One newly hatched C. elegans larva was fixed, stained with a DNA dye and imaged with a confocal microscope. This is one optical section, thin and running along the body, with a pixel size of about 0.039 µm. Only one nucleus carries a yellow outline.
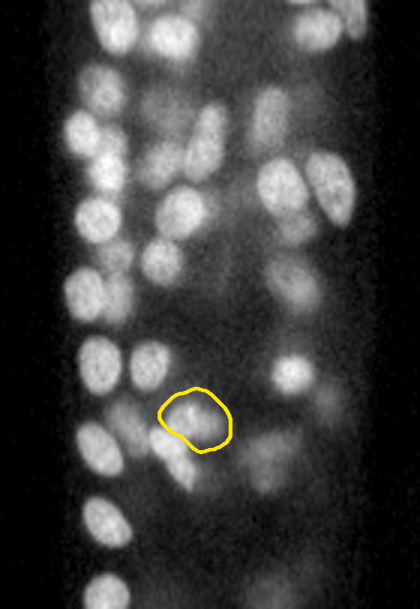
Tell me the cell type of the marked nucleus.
pharyngeal muscle cell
